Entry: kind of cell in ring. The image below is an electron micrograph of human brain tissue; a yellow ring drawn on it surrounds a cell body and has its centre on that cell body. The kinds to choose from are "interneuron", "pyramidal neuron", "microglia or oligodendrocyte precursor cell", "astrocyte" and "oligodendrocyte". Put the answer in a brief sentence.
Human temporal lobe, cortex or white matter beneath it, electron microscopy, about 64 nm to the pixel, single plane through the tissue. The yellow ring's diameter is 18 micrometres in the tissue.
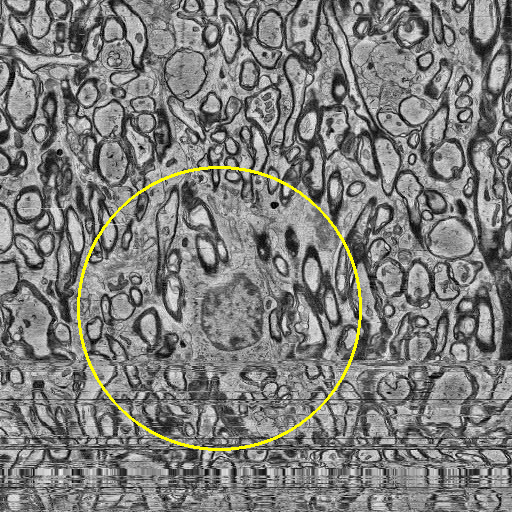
The ring has been drawn around a microglial cell or oligodendrocyte precursor cell.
